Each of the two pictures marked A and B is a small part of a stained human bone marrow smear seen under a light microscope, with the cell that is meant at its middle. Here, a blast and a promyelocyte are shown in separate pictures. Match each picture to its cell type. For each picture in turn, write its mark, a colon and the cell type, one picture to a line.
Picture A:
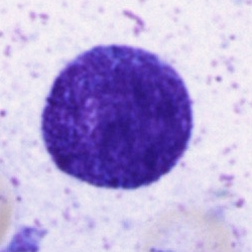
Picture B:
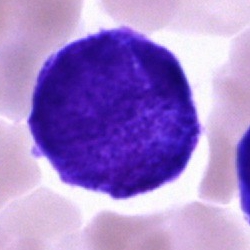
A: promyelocyte
B: blast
